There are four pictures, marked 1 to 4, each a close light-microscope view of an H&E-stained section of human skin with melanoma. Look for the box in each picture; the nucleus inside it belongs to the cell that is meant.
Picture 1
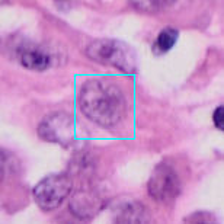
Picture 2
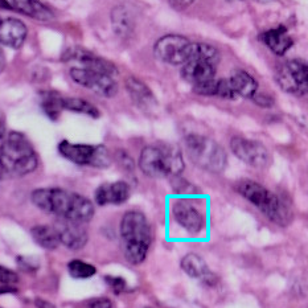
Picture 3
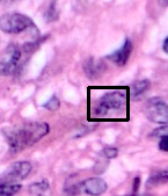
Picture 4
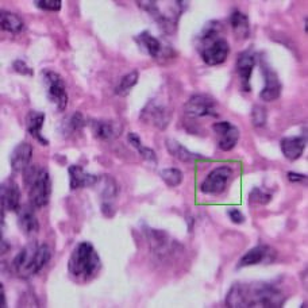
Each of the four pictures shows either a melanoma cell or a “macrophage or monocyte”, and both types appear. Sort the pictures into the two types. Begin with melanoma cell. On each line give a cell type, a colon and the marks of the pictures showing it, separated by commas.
melanoma cell: 1, 2, 3
macrophage or monocyte: 4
